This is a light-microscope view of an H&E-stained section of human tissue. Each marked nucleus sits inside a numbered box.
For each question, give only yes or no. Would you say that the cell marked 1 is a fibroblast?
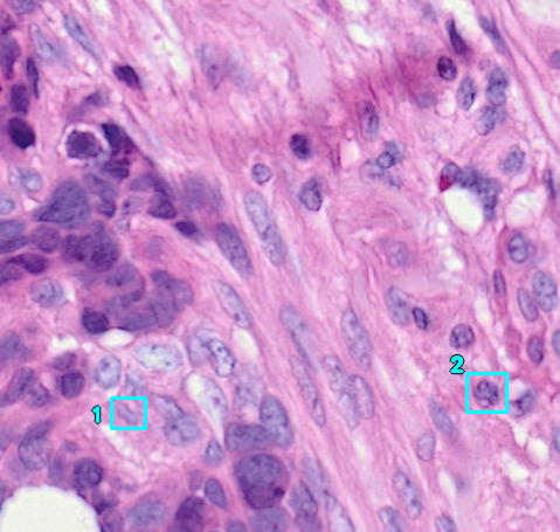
yes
